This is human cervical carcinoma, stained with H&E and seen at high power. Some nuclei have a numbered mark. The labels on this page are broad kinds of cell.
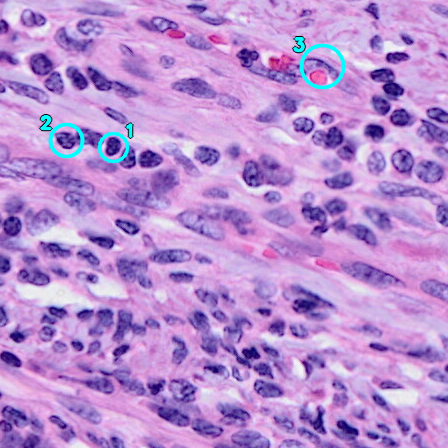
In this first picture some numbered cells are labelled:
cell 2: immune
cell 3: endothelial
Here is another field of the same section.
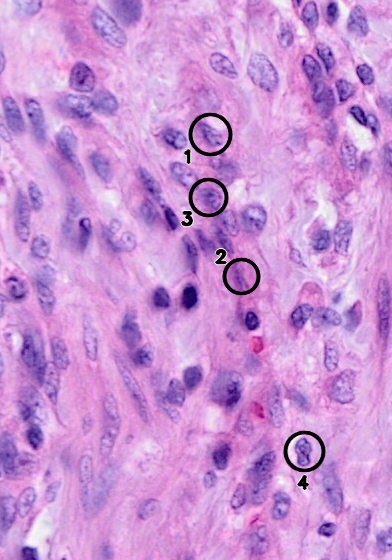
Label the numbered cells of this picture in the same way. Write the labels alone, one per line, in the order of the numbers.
endothelial
endothelial
endothelial
immune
